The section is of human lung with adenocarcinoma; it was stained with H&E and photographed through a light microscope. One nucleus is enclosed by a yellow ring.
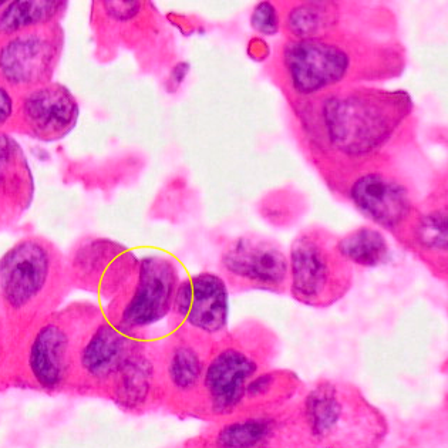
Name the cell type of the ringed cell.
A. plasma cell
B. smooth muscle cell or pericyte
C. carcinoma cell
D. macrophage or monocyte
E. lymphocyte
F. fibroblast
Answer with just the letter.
C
